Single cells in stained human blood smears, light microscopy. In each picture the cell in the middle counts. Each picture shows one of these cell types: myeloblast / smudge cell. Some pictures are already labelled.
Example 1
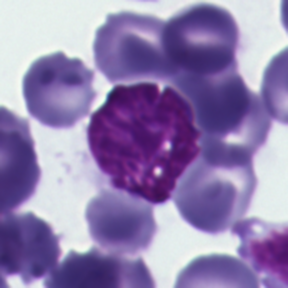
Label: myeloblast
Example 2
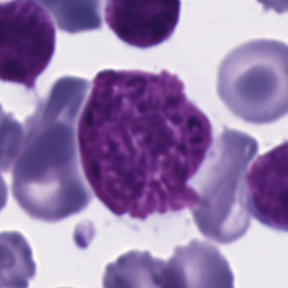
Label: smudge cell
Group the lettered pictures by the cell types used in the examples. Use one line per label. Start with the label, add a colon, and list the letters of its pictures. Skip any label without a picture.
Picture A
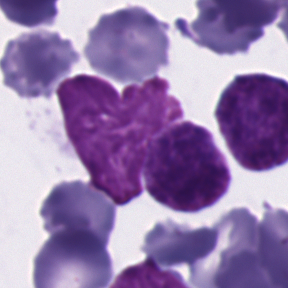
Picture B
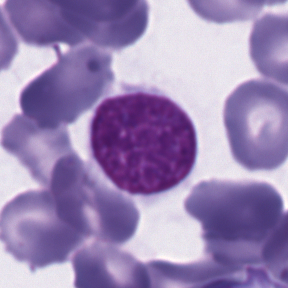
myeloblast: B
smudge cell: A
